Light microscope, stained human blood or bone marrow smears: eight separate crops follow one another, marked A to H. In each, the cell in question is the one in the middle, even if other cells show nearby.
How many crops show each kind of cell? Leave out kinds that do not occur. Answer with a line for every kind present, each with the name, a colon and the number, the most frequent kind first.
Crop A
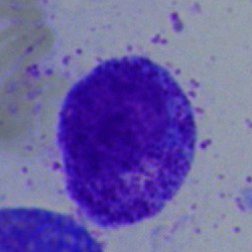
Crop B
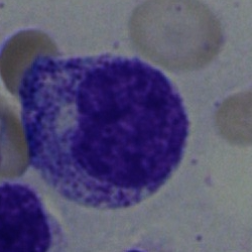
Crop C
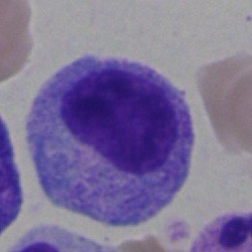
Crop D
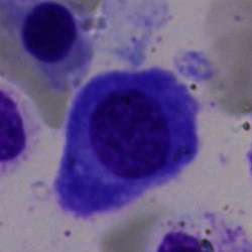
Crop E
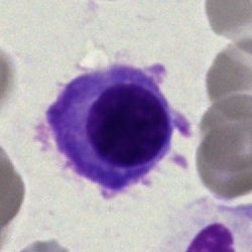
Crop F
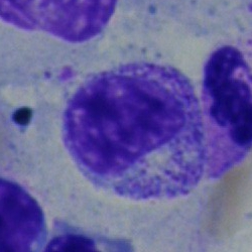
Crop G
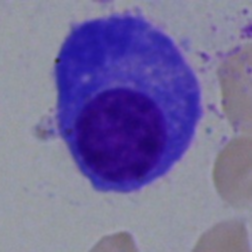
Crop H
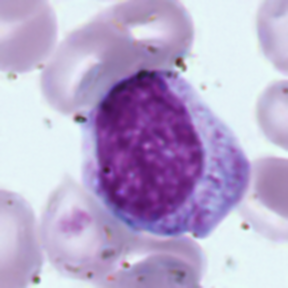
myelocyte: 5
plasma cell: 3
